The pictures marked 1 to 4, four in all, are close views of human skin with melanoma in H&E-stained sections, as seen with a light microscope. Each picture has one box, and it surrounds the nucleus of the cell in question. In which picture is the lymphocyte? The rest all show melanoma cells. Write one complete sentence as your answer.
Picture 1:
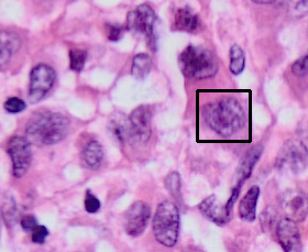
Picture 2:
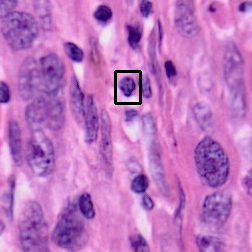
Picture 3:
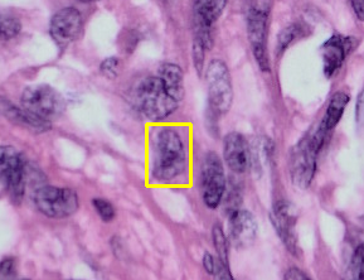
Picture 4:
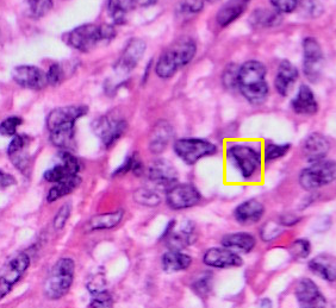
Picture 2 shows the lymphocyte.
